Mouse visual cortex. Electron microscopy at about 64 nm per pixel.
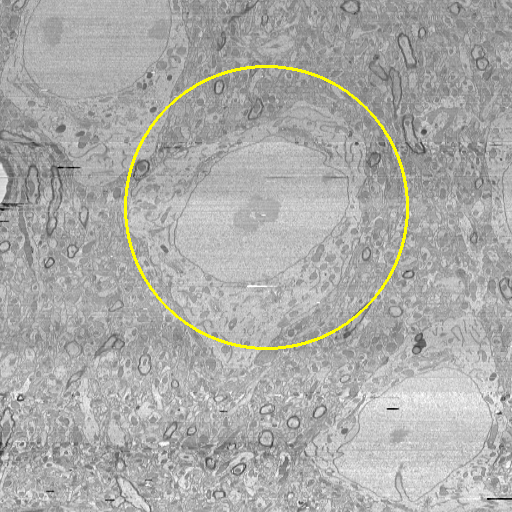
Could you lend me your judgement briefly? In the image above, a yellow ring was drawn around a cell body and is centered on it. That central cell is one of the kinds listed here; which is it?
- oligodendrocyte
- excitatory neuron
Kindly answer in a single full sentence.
Going by the list, an excitatory neuron is the kind at the ring's center in the picture.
